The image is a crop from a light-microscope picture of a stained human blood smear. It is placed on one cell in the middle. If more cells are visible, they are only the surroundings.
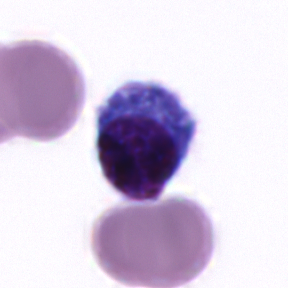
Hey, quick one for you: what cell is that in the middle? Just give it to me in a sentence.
The cell found in the middle of this crop is a plasma cell.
